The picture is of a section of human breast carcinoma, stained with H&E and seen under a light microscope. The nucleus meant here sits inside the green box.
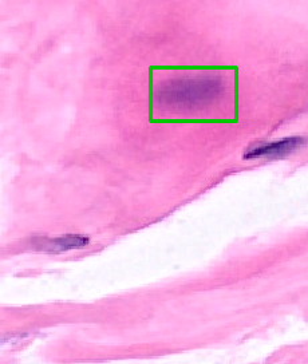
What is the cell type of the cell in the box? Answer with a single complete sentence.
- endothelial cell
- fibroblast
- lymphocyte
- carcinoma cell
In the stained section, the cell in the box is a fibroblast.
